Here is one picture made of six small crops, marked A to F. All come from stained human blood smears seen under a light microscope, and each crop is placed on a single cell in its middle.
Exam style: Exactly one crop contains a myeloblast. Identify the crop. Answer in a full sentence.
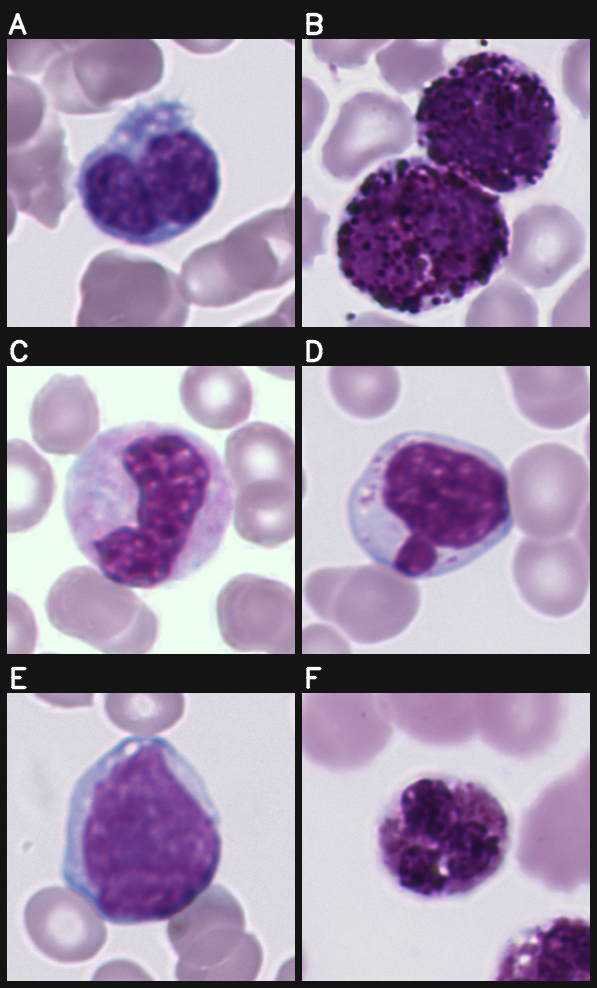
On review of the set, crop E is the one showing a myeloblast.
